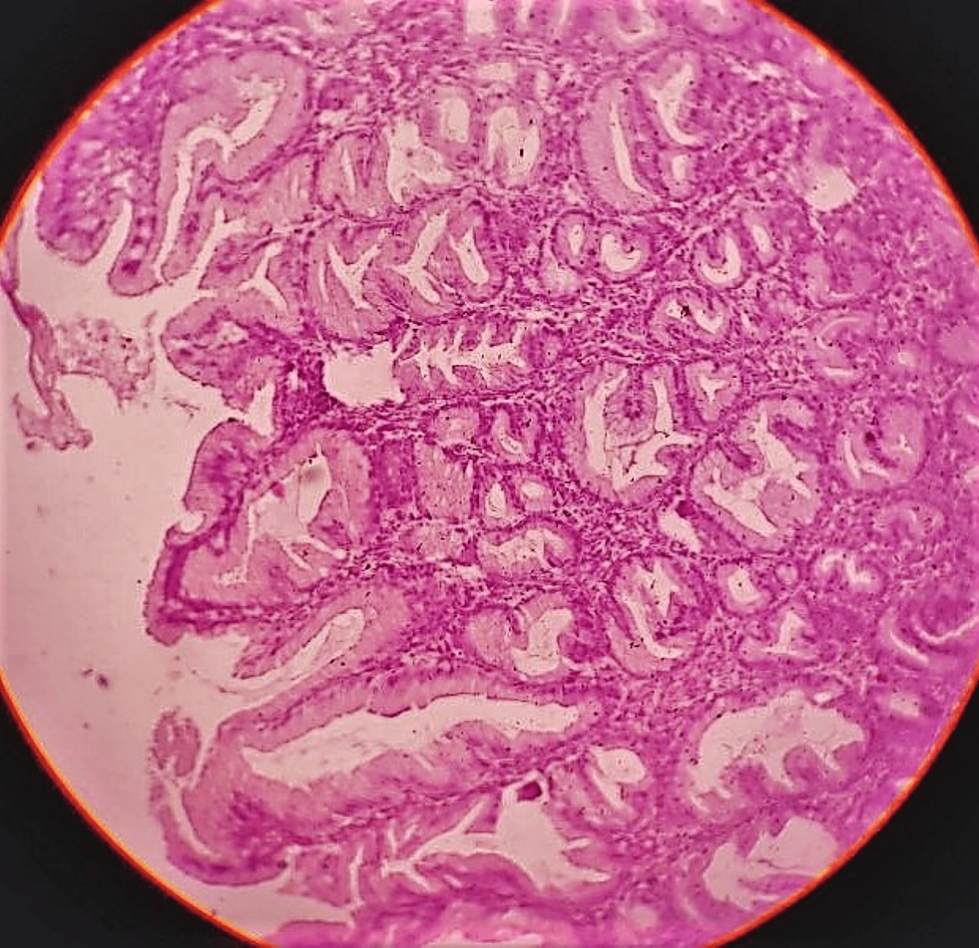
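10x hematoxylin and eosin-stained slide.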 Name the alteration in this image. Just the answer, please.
Foveolar hyperplasia.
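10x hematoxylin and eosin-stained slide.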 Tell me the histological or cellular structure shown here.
Tortuous glands.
